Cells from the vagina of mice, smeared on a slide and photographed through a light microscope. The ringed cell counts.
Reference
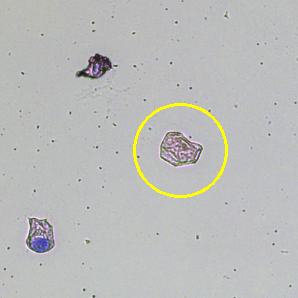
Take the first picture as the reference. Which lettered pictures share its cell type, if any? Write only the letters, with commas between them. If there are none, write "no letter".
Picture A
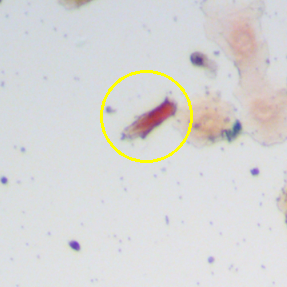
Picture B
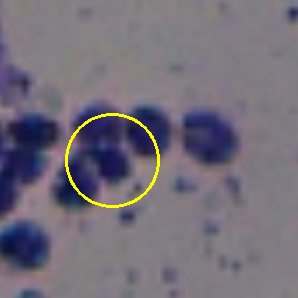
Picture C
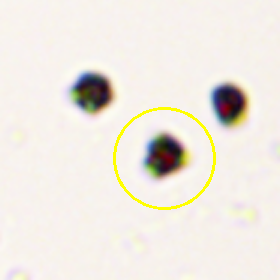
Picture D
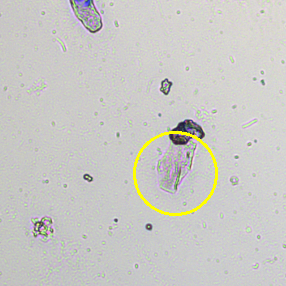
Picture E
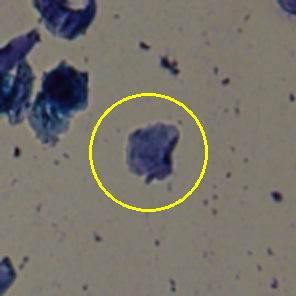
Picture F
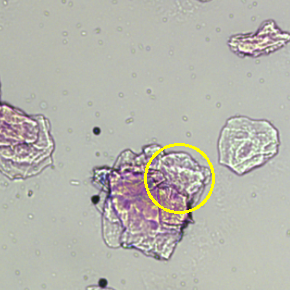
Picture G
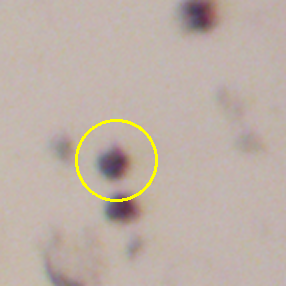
A, D, E, F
